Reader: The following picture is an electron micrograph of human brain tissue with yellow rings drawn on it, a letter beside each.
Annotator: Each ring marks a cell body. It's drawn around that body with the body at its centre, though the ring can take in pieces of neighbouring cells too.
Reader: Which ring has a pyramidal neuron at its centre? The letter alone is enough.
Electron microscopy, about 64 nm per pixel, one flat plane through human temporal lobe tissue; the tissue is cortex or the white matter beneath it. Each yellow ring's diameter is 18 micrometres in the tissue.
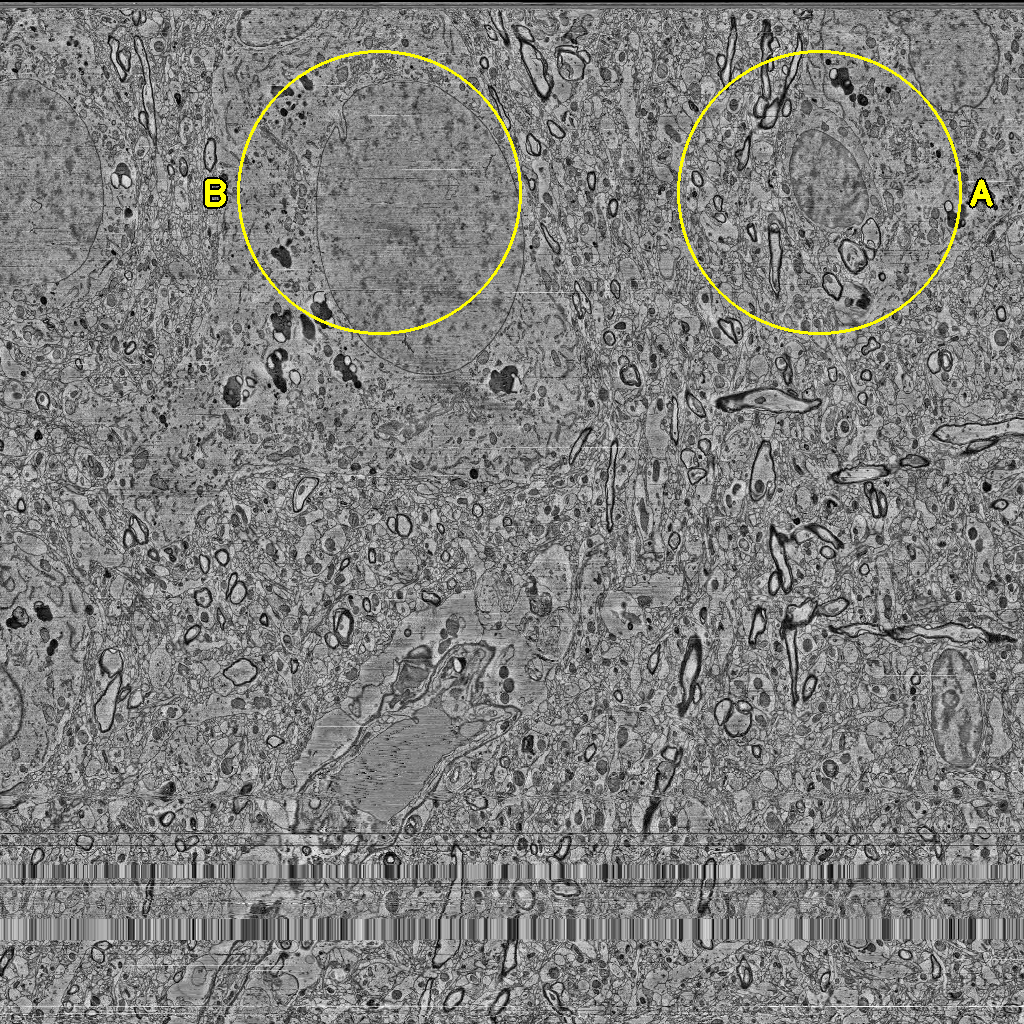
B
